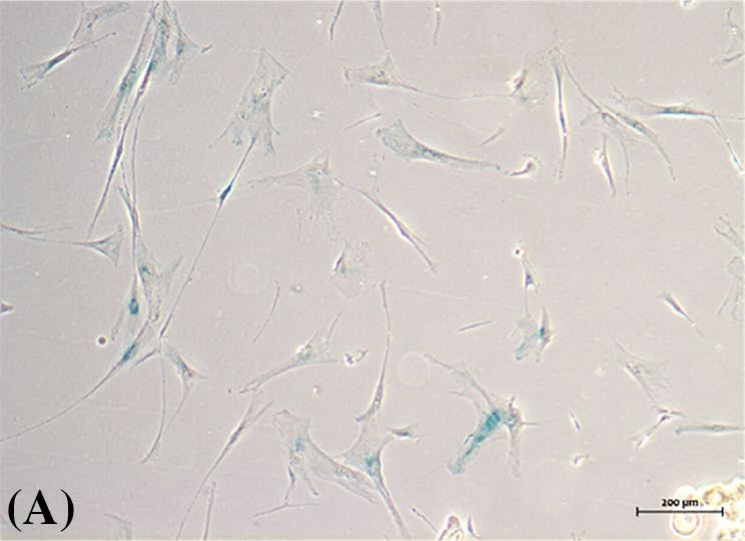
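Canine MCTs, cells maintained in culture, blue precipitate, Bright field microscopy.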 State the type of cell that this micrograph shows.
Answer: stromal fibroblasts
